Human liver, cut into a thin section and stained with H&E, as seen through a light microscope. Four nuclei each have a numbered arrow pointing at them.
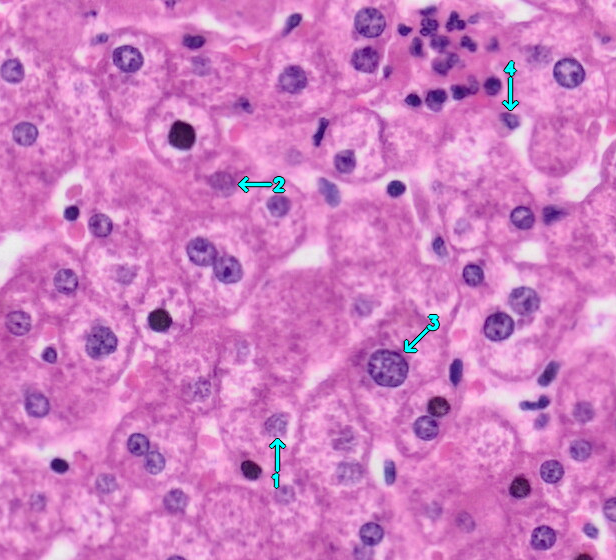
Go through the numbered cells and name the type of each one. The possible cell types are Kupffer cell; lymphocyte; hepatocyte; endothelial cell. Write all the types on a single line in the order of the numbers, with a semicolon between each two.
hepatocyte; hepatocyte; hepatocyte; Kupffer cell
